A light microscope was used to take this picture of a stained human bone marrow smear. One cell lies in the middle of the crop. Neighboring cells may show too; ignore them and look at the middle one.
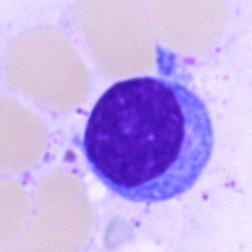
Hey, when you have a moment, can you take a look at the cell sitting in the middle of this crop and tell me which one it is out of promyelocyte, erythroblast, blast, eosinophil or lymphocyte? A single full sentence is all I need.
What sits at the centre of this crop is a lymphocyte.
